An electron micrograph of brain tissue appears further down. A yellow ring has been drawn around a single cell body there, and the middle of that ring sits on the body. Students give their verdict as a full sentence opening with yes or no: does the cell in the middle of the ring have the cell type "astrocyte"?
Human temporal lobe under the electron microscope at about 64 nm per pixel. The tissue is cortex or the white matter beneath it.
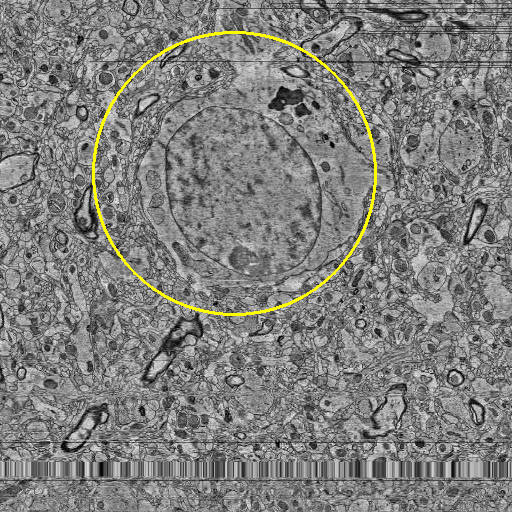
Yes, in this picture the cell sitting at the middle of the ring has that cell type.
